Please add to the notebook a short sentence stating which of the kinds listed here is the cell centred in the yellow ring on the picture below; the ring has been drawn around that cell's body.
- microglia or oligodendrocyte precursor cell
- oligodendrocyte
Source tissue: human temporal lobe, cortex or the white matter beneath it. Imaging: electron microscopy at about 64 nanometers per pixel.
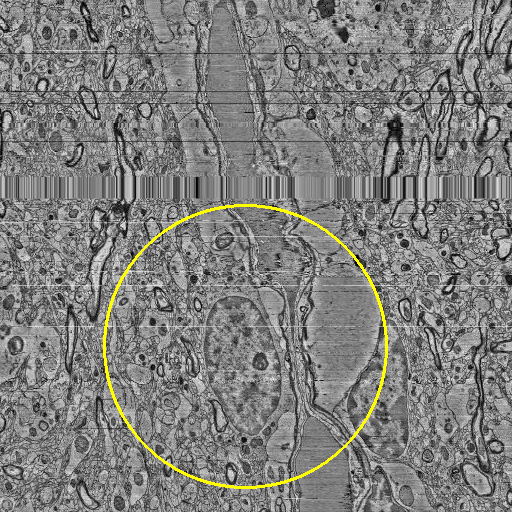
The cell centred in the yellow ring is an oligodendrocyte.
